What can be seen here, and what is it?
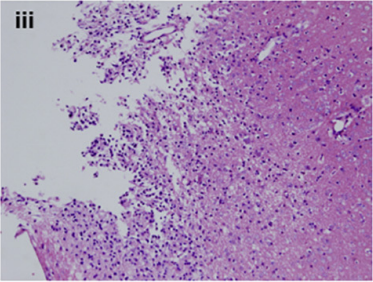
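Along the ragged border the tissue is crowded with many small, dark purple nuclei, far denser than in the intact tissue further to the right. Fragments of tissue with clusters of these nuclei hang loose into the empty space at the upper left. Away from the cavity the neuropil is pale pink with scattered nuclei and a few small vessels.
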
